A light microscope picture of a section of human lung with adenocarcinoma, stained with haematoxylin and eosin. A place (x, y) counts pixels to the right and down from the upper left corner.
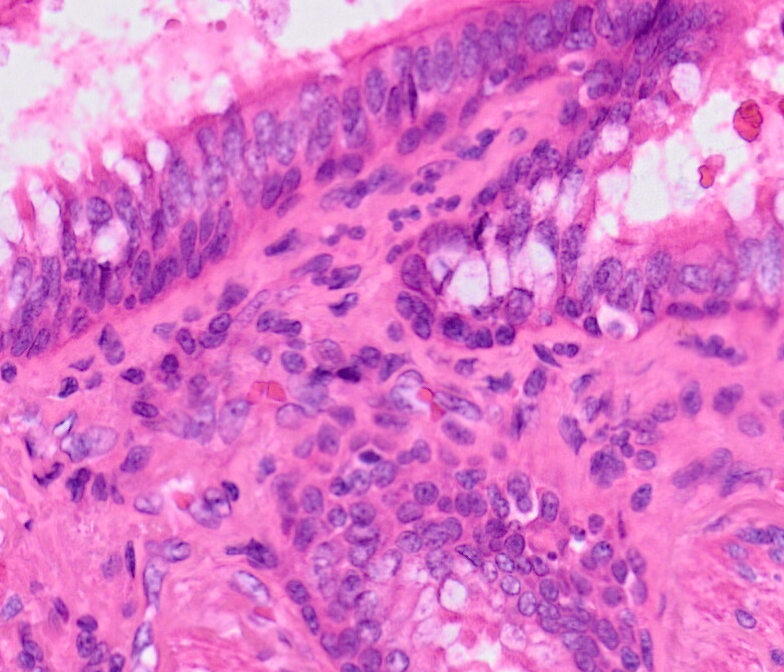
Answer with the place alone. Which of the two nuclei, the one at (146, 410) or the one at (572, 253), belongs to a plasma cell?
(146, 410)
